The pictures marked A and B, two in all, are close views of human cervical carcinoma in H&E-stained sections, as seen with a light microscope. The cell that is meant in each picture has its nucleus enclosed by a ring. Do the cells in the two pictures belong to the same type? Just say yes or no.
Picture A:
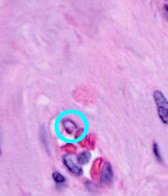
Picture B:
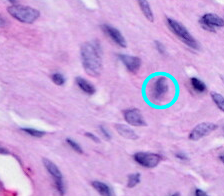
no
